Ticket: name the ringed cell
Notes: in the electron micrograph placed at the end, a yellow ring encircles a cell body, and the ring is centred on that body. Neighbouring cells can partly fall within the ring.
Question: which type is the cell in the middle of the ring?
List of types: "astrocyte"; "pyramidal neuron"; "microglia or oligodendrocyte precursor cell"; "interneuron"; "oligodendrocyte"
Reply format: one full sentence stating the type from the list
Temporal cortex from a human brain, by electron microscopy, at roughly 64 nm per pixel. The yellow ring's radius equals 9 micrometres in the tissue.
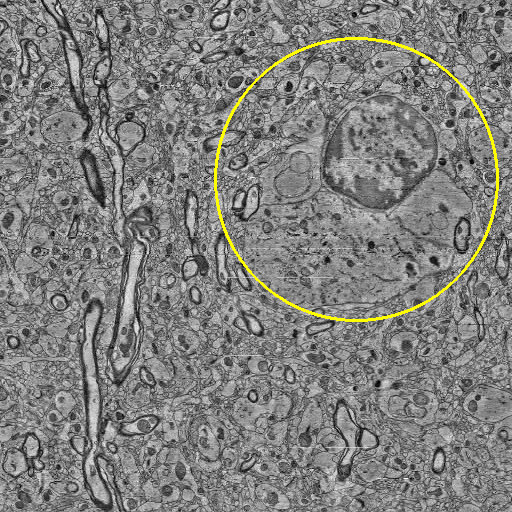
The cell sitting at the centre of the yellow ring is a microglial cell or oligodendrocyte precursor cell.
